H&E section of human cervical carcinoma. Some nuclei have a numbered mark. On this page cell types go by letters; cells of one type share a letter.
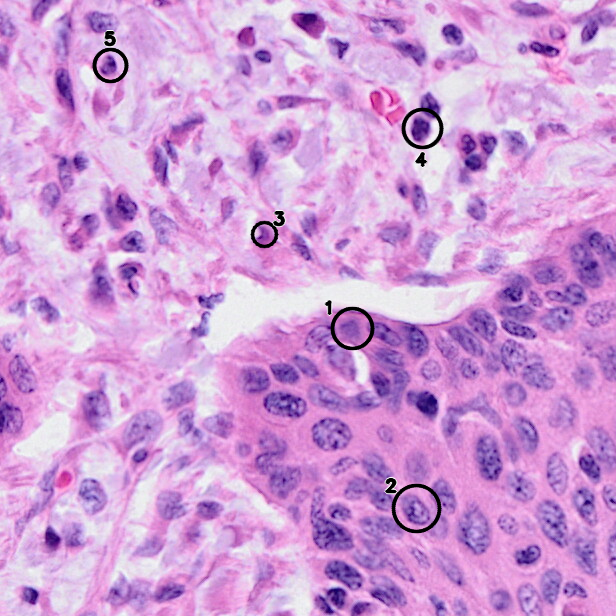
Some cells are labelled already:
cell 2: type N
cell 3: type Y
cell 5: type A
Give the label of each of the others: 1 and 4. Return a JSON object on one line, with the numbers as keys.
{"1": "type N", "4": "type A"}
